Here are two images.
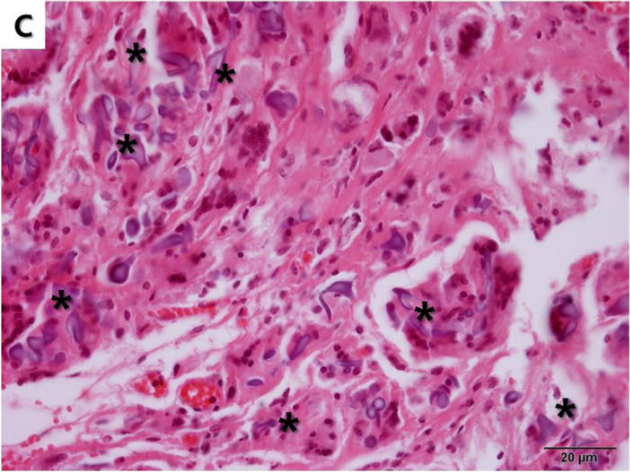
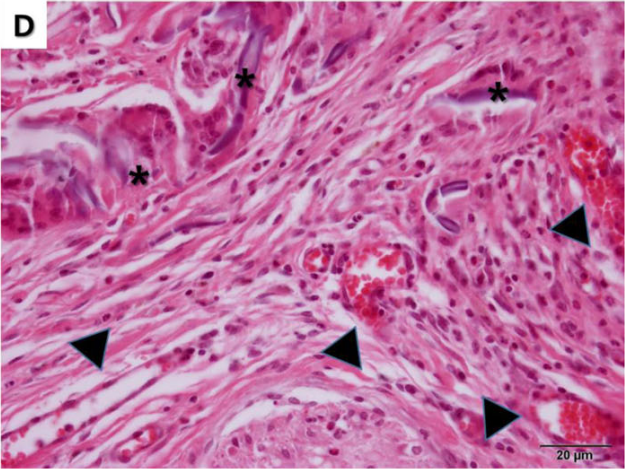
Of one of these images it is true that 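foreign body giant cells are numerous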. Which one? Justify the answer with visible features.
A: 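The first image. Second image: only a few large multinucleated cells, with much spindle-cell fibrous tissue and small vessels between them. First image: large multinucleated cells crowd most of the field around material fragments.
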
